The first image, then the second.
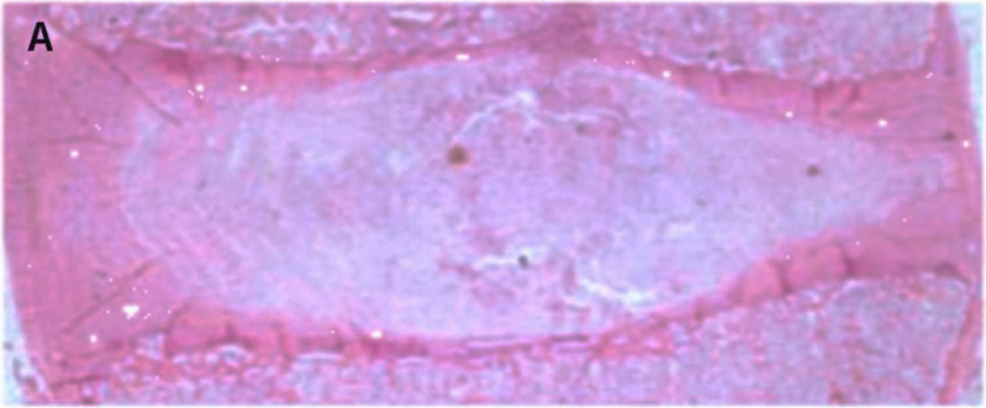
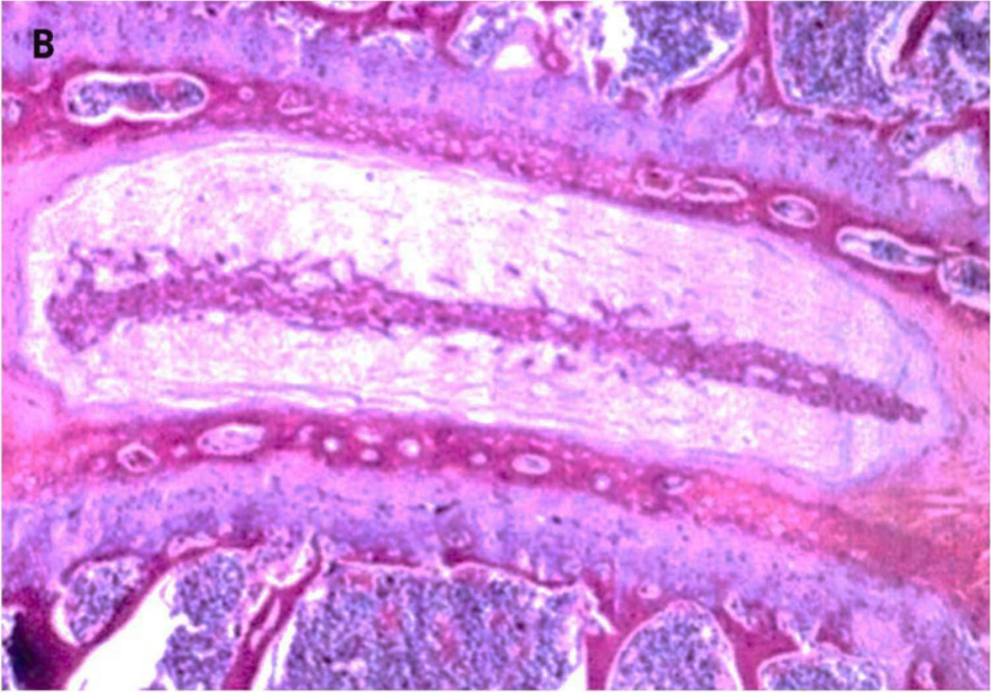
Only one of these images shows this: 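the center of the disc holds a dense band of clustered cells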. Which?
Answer: The second image.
